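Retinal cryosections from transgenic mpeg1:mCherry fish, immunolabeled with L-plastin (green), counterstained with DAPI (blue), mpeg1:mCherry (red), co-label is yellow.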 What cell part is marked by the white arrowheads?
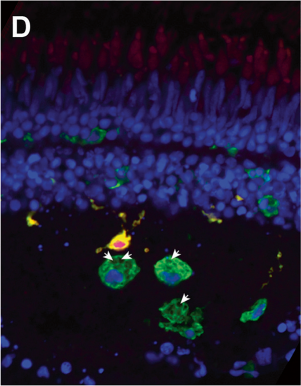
Vacuoles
